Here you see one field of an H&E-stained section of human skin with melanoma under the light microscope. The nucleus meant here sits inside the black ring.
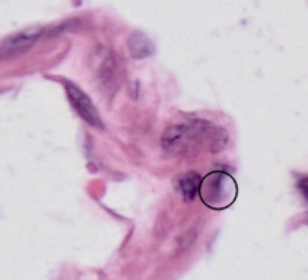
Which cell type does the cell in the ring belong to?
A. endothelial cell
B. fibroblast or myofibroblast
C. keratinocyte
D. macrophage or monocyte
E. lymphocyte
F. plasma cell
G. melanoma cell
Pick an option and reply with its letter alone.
A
